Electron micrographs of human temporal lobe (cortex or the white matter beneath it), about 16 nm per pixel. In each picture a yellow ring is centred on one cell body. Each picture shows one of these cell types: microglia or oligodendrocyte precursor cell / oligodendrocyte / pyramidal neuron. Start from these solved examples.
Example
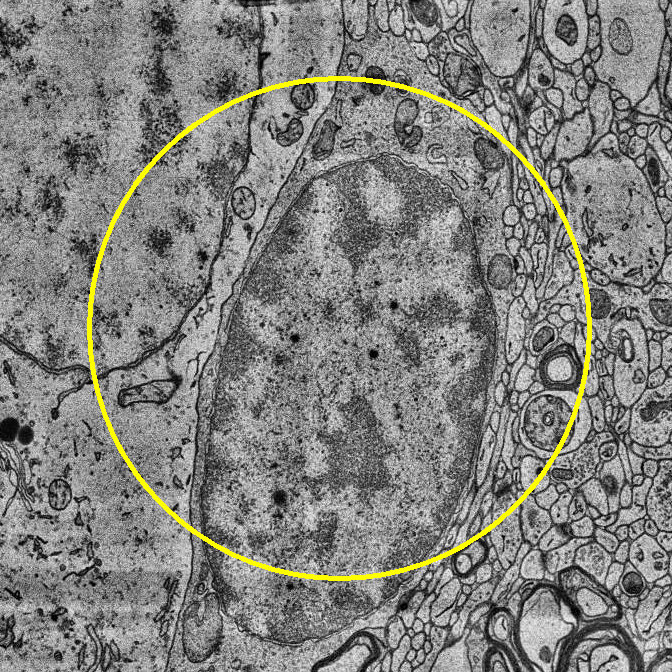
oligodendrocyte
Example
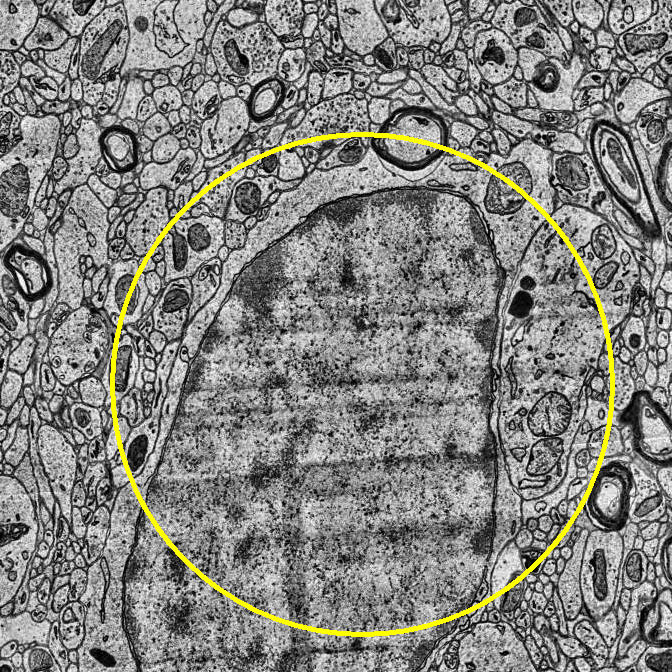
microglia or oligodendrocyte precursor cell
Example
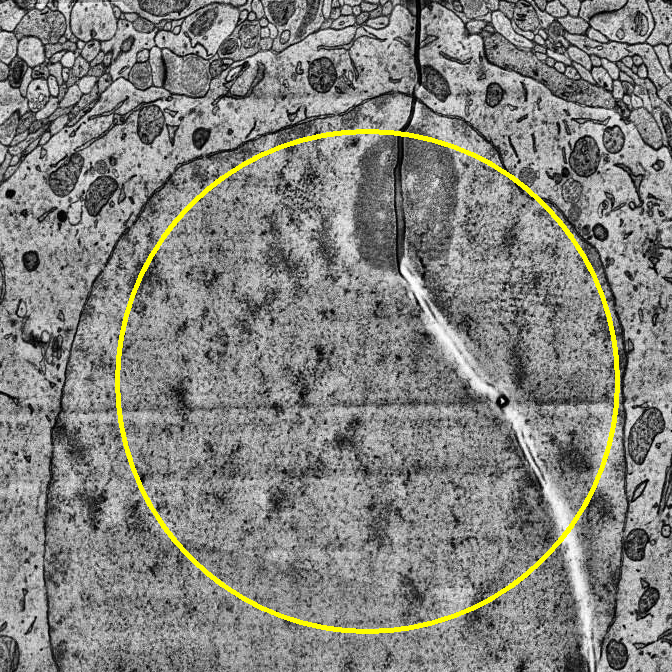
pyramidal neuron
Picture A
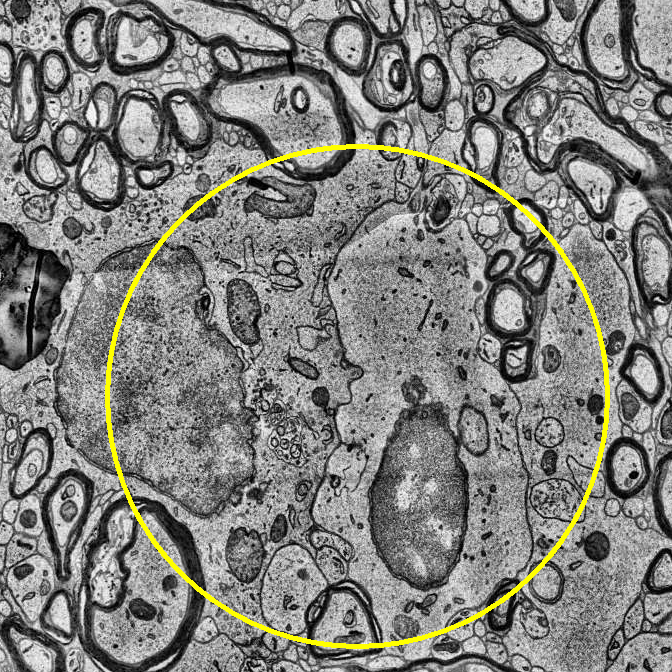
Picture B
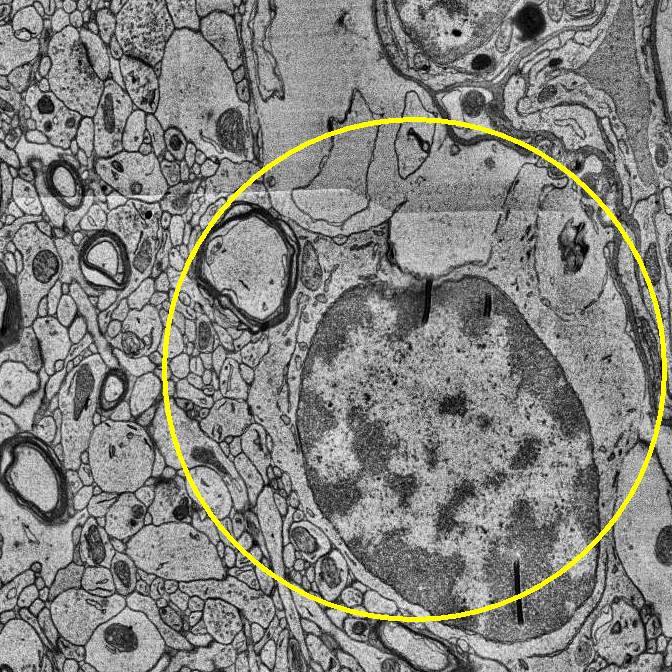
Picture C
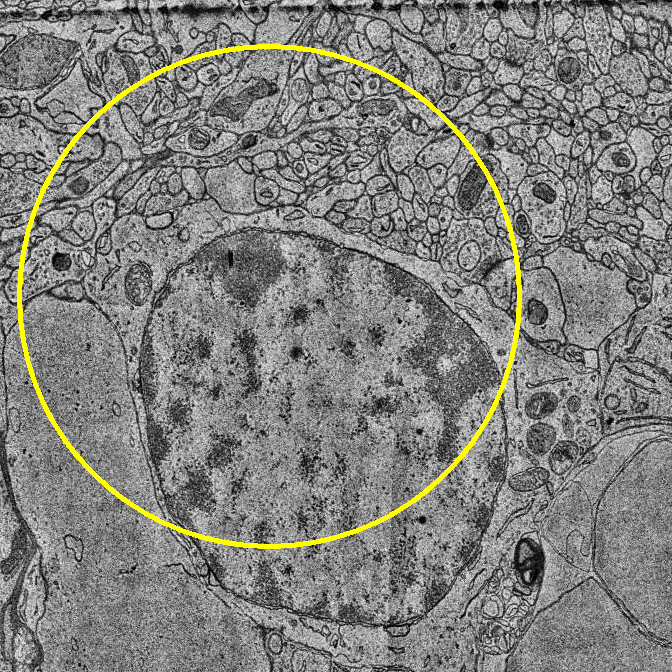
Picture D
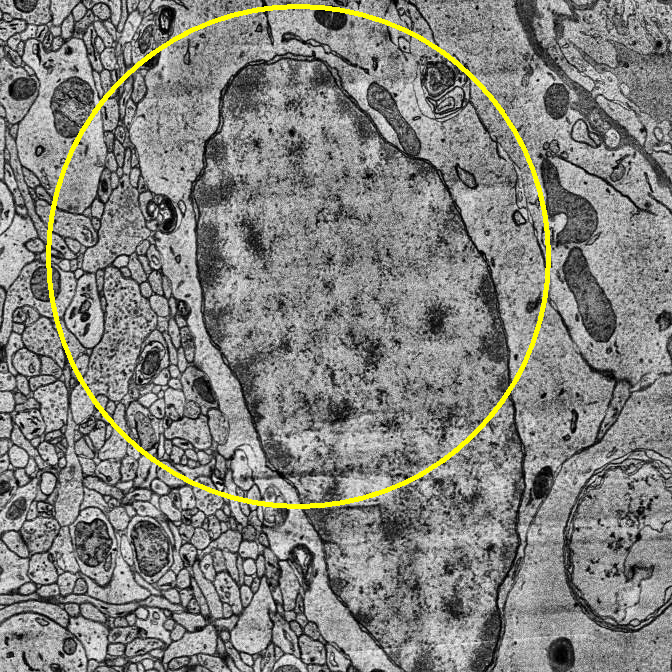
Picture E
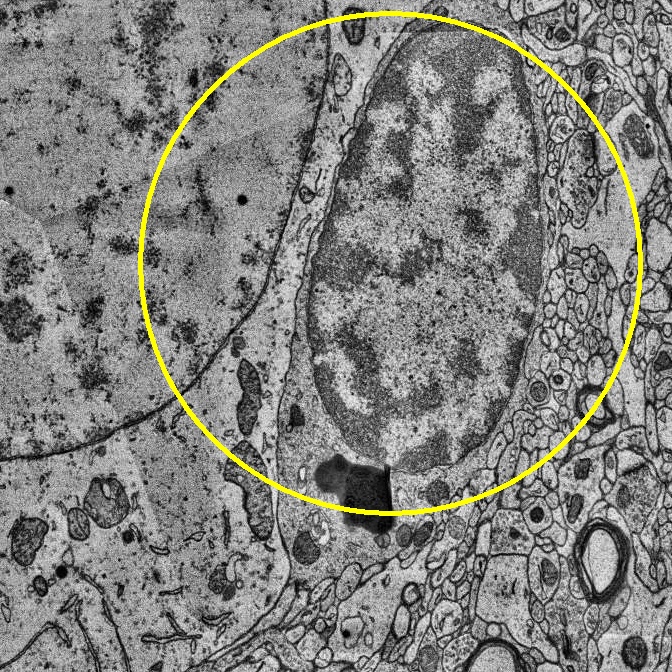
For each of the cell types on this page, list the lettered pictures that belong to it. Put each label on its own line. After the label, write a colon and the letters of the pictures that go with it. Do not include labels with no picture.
microglia or oligodendrocyte precursor cell: A, B, C, D
oligodendrocyte: E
